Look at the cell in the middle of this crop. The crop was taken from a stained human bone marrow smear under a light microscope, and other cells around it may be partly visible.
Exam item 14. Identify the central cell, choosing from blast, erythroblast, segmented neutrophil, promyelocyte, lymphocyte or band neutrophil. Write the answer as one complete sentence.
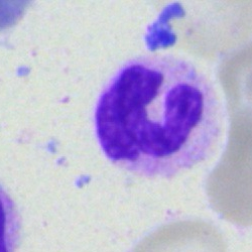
In the middle of this smear crop, the cell is a band neutrophil.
